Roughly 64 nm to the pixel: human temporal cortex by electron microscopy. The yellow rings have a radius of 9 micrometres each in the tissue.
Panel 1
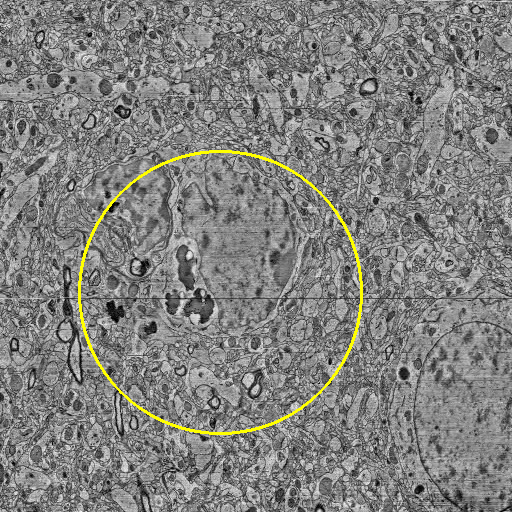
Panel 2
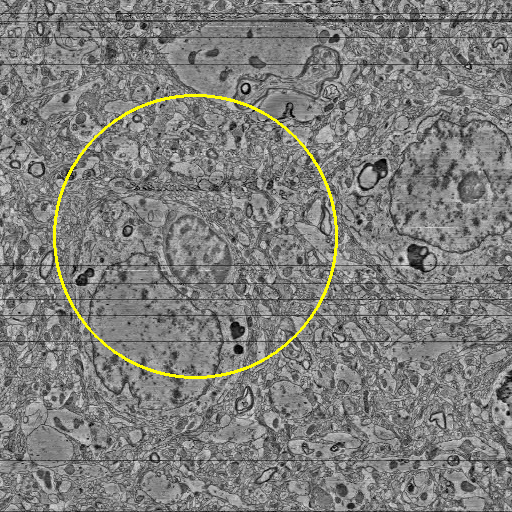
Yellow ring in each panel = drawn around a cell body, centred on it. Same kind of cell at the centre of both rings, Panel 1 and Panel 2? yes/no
no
